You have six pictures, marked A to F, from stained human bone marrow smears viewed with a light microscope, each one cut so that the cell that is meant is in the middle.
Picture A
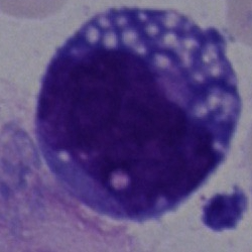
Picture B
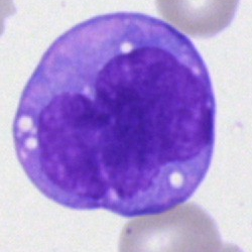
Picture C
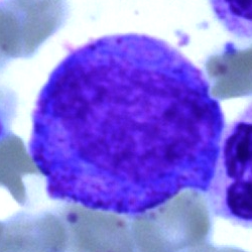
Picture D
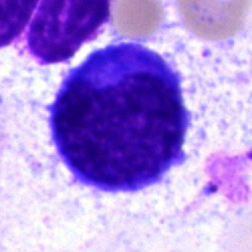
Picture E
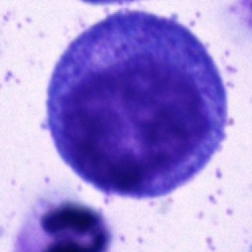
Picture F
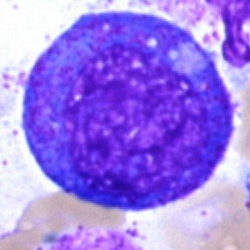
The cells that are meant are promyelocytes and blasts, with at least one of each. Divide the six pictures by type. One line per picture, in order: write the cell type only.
blast
blast
promyelocyte
blast
promyelocyte
promyelocyte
